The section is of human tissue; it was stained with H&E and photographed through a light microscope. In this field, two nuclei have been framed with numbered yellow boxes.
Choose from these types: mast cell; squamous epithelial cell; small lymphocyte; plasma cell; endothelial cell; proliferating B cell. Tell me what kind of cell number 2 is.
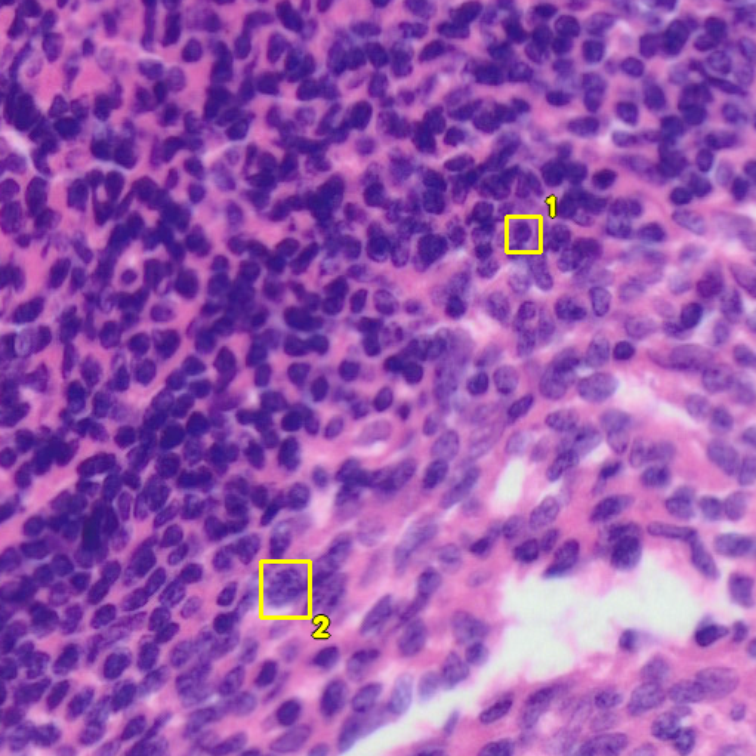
proliferating B cell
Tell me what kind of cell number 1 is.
small lymphocyte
